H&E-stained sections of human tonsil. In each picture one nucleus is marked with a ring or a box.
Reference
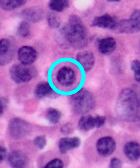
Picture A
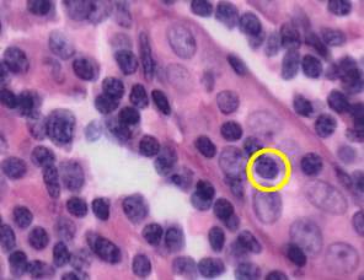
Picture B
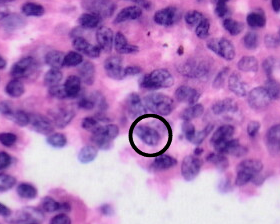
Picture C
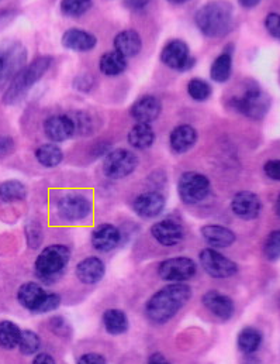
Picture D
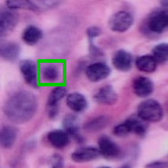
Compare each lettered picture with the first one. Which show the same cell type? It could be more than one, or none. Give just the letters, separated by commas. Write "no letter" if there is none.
C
